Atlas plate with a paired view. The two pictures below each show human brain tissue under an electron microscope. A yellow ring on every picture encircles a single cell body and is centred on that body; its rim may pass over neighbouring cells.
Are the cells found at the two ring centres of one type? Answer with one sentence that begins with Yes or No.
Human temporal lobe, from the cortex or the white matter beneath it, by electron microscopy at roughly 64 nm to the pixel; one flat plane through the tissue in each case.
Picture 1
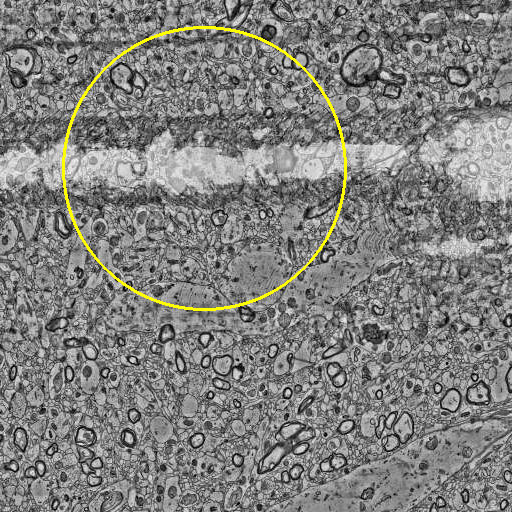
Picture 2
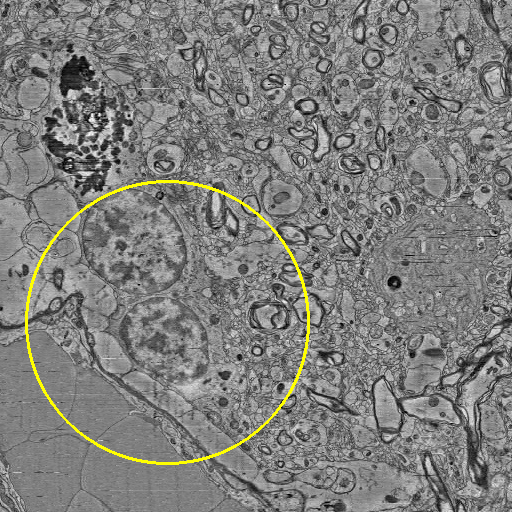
Yes, the two cells lying at the centres of the rings share a single type.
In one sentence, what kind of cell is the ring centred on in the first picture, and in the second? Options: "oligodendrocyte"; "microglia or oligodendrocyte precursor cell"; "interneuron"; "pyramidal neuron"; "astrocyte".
Both cells are the same kind, each one being an oligodendrocyte.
